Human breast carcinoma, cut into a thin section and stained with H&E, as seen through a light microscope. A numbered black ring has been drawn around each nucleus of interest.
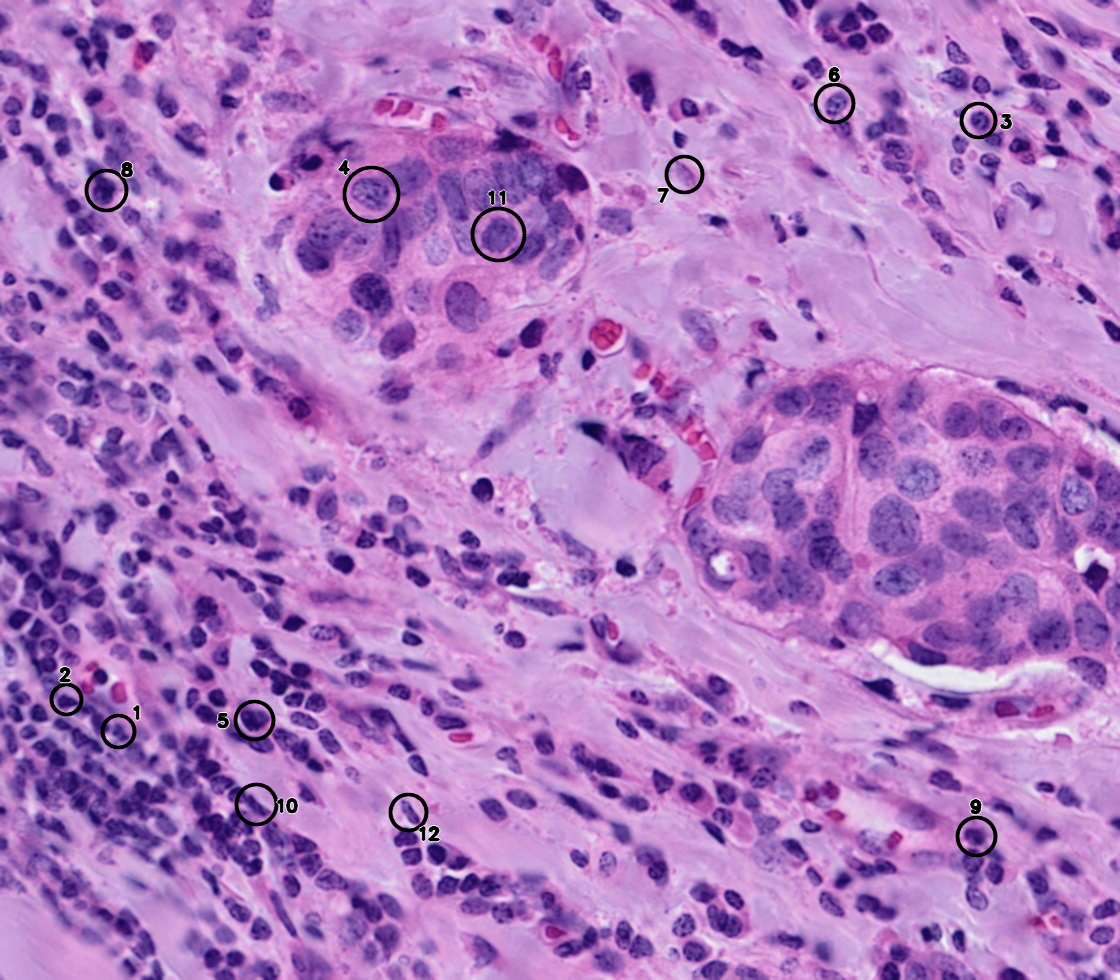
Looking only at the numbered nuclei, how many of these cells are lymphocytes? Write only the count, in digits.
7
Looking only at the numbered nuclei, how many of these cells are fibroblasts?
1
